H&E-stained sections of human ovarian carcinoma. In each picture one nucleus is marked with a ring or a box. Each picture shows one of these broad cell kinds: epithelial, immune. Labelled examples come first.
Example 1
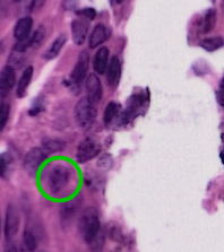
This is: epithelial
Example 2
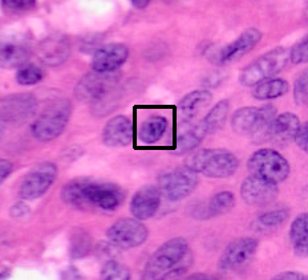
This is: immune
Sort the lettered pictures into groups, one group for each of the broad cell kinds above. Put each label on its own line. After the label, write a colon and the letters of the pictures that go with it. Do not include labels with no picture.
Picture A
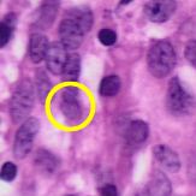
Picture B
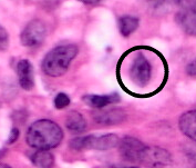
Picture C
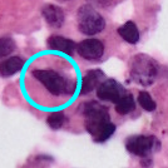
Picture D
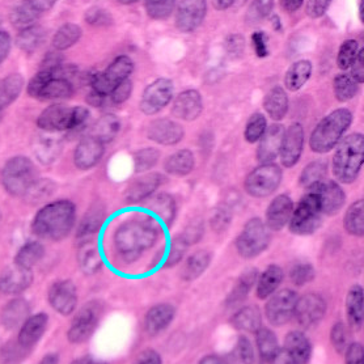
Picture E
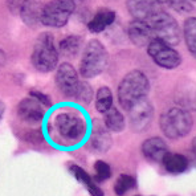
epithelial: A, D
immune: B, C, E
